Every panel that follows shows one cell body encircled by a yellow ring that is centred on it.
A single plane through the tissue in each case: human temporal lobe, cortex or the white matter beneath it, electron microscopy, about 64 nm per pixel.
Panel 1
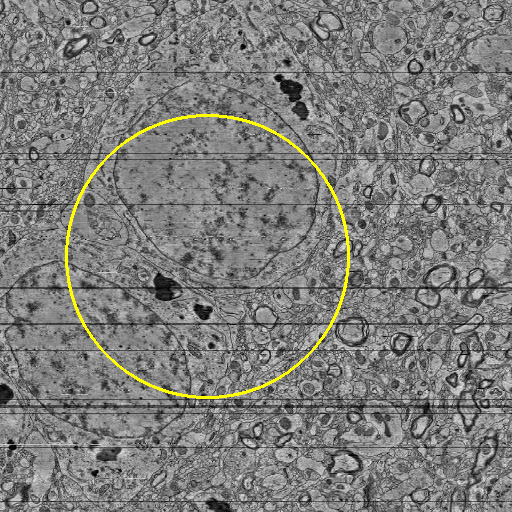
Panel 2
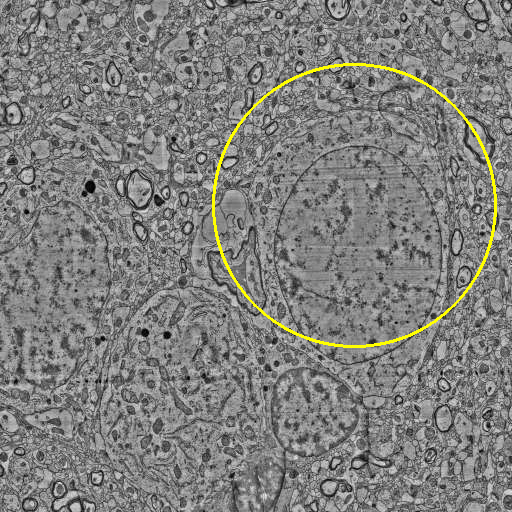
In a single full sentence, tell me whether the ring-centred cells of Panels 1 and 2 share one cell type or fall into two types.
In Panel 1 and Panel 2, the cells at the ring centres share one cell type.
